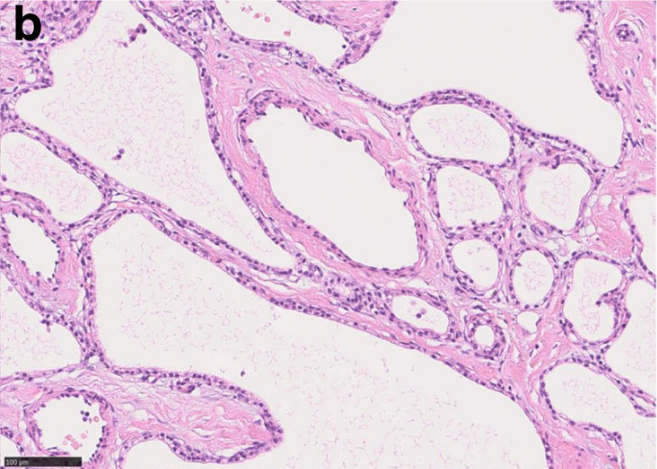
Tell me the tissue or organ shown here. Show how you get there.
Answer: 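Serous cystadenomas. Many cystic spaces of varying size separated by fibrous septa. Lumens contain pale pink fluid. Cysts lined by a single thin layer of epithelium.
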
